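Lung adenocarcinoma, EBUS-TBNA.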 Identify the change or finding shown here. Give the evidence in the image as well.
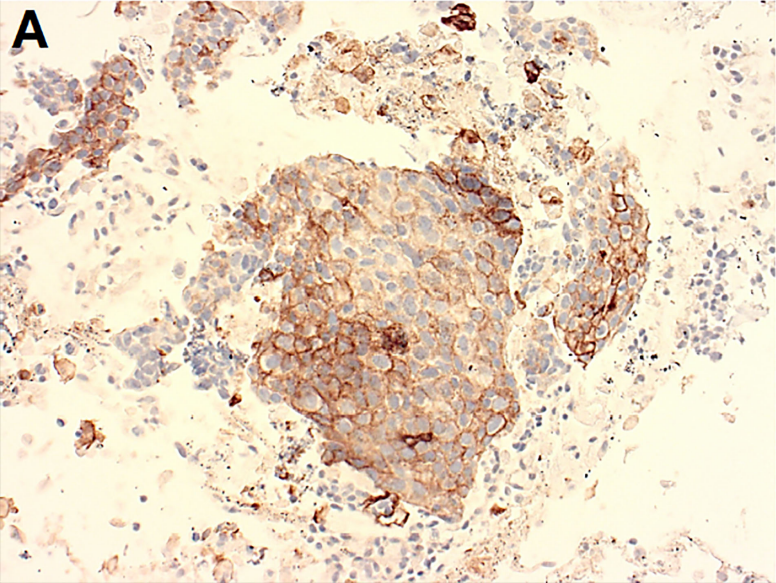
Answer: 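Solid-clumped patterns of growth. Tumor cells form a large, crowded, solid clump without glands or lumens. Smaller clumps lie beside it among scattered single cells.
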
